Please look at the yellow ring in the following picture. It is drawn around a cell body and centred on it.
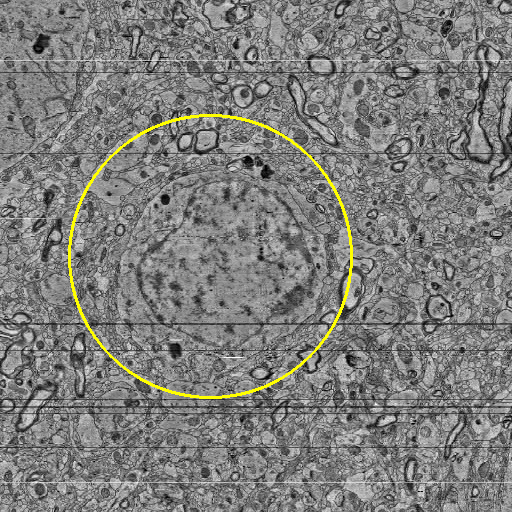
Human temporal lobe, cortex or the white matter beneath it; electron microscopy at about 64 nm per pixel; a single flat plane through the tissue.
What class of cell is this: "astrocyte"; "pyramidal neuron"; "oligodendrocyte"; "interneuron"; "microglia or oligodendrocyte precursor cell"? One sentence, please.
The ring surrounds the cell body of an interneuron.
